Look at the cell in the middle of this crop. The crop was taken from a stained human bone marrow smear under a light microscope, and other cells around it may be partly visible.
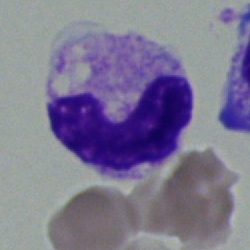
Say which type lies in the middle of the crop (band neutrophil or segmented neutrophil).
band neutrophil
